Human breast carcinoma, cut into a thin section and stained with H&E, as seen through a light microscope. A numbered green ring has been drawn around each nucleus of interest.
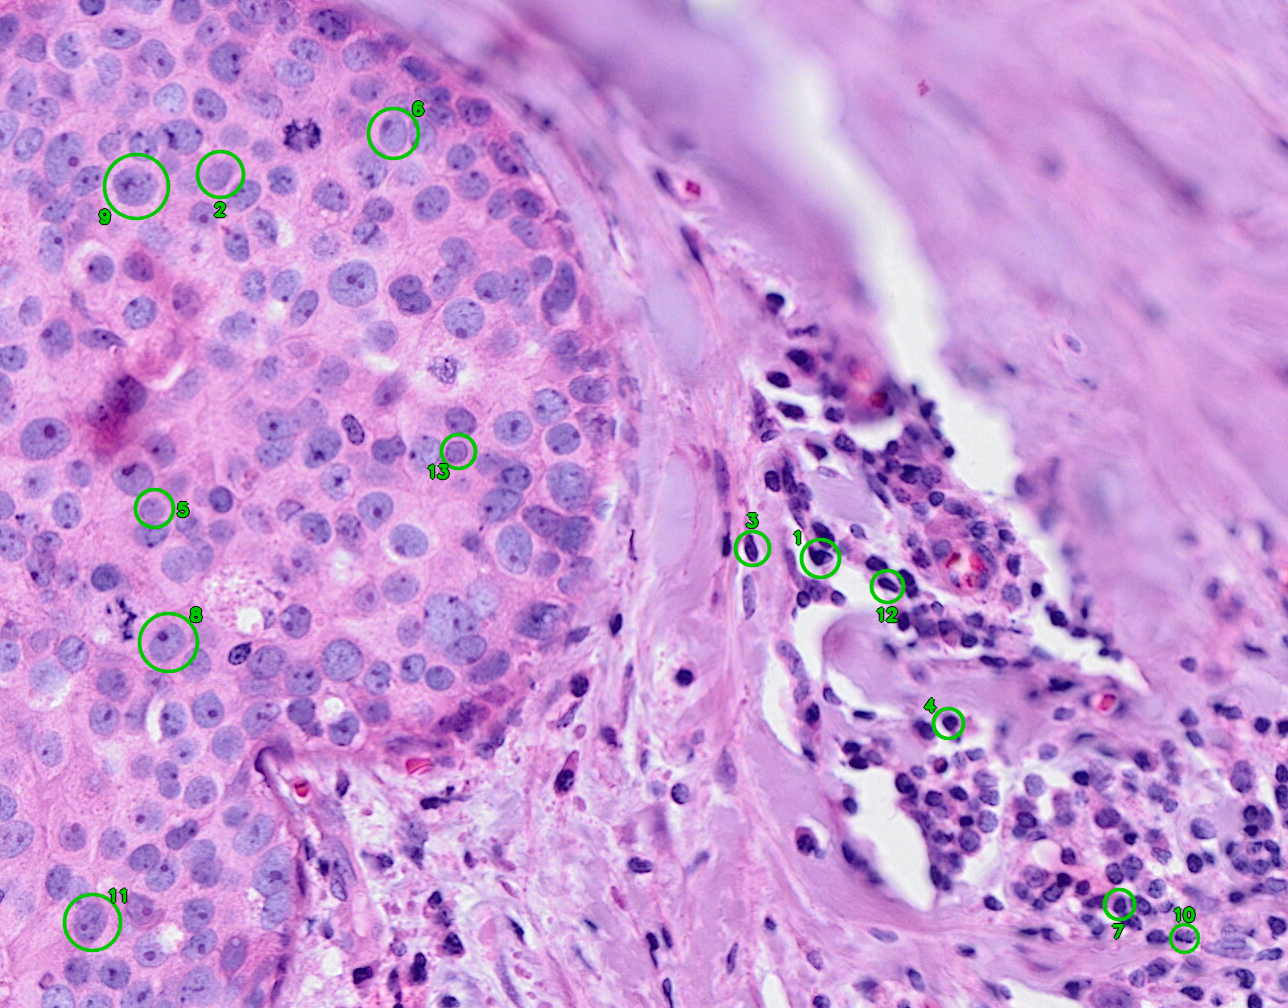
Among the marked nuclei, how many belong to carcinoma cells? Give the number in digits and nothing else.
7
